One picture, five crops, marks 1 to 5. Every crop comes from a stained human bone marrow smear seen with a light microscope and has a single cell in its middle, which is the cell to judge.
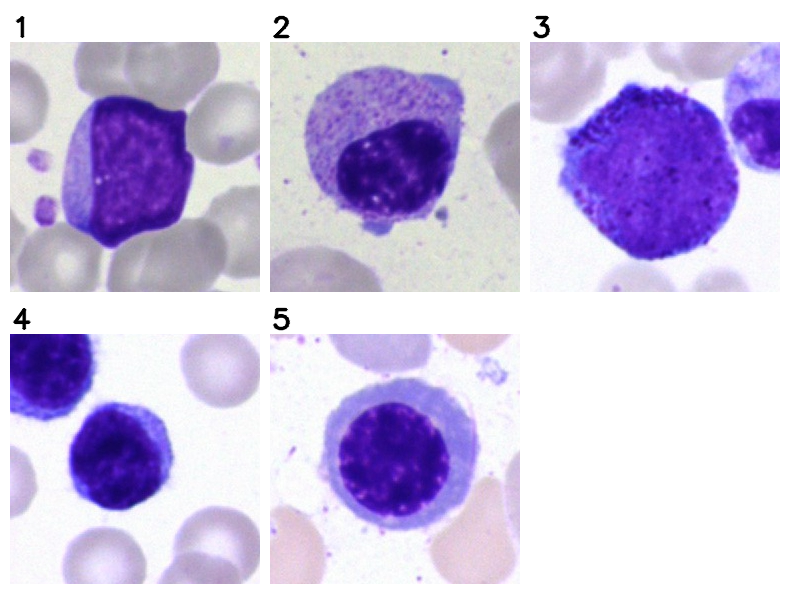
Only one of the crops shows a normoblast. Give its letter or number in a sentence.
Crop 5 is the crop featuring a normoblast at its center.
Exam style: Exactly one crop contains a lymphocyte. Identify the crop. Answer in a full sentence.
Crop 4, and no other, is the one that shows a lymphocyte.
